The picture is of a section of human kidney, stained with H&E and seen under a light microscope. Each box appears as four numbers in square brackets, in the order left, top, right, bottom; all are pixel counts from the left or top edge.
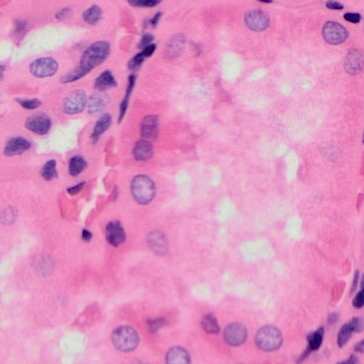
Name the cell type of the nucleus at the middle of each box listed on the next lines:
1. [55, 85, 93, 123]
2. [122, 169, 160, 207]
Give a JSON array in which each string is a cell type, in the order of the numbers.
["collecting duct cell", "proximal tubule cell"]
